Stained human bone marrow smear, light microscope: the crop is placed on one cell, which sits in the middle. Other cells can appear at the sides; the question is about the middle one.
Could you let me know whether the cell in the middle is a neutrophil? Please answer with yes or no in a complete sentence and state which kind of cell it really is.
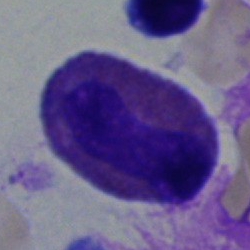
No, the central cell qualifies as an eosinophil rather than as a neutrophil.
